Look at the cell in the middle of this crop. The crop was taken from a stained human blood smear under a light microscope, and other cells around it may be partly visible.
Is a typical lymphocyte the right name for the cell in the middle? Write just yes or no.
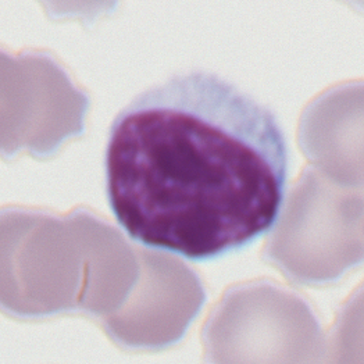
yes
